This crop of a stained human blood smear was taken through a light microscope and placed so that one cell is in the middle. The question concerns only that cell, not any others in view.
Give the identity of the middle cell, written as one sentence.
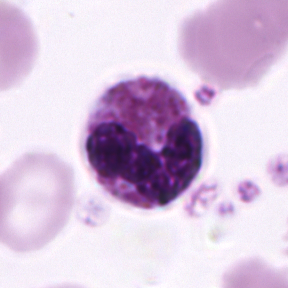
The middle position in this crop is taken by an eosinophil.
